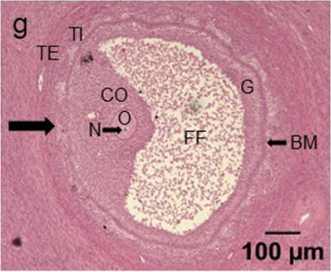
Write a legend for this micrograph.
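This is an antral follicle in the ovary, with a large crescent-shaped cavity filled with pale pink, finely granular follicular fluid. On one side a mound of cells, the cumulus oophorus, bulges into the cavity and holds the oocyte. The cavity is lined by a layer of granulosa cells resting on a basal membrane. Outside this lie concentric layers of theca interna and theca externa, merging into the pink ovarian stroma.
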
